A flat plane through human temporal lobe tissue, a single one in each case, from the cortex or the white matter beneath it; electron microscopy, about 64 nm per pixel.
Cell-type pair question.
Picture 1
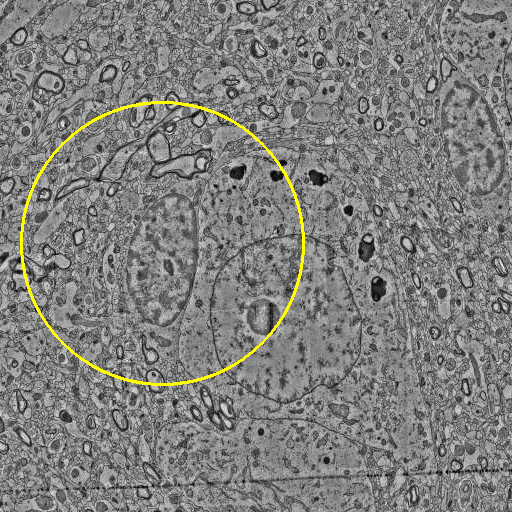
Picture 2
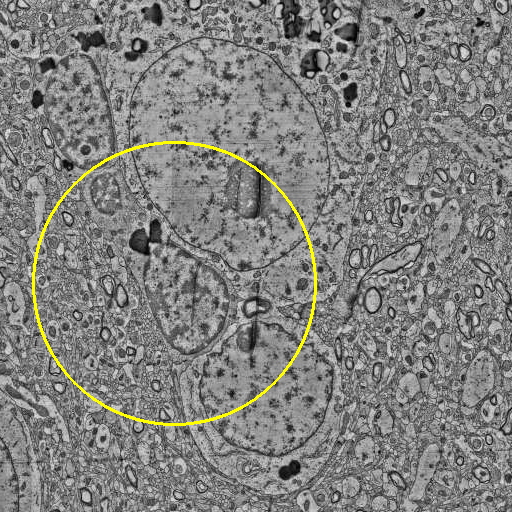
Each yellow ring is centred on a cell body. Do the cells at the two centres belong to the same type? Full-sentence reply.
Yes, the two cells belong to the same type.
